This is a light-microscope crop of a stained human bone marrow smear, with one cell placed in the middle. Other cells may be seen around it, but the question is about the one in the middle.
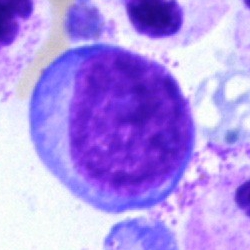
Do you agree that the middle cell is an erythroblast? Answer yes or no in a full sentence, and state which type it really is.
No, the central cell isn't an erythroblast, but a blast.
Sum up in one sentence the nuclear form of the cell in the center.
The cell carries one compact nucleus shaped round, oval or like a kidney.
